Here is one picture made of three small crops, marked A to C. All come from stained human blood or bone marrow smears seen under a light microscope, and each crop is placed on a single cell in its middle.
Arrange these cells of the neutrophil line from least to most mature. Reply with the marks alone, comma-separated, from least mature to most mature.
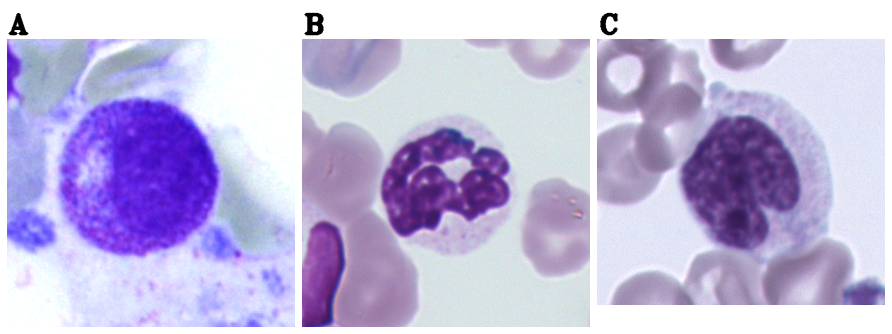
A, C, B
